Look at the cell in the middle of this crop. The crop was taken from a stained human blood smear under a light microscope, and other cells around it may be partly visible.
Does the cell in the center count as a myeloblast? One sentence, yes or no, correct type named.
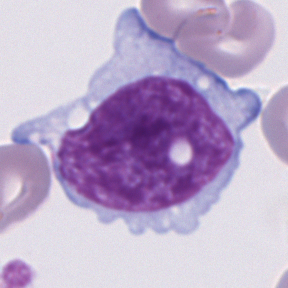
Yes, a myeloblast is present in the middle of the crop.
